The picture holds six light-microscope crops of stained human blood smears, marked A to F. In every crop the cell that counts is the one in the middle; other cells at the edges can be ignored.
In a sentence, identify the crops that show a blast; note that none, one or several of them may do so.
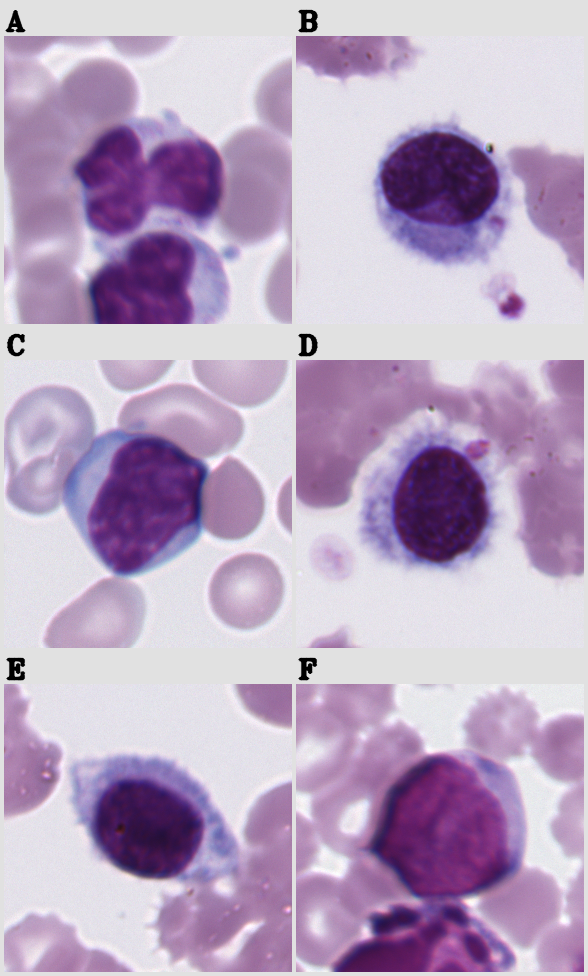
The single crop containing a blast is crop F.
